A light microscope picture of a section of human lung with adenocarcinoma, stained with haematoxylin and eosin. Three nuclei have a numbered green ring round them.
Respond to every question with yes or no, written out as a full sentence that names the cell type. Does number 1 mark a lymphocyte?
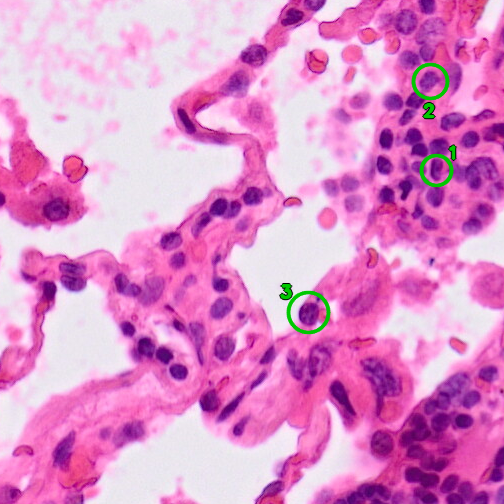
Yes, the cell to which number 1 refers is a lymphocyte.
